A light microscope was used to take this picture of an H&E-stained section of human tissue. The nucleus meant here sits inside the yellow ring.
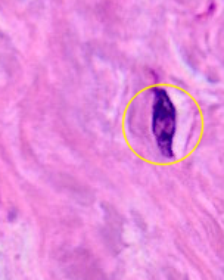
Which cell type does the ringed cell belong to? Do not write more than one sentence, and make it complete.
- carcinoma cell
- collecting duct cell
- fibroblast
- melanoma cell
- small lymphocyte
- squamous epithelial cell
In this field of tissue, the ringed cell is a fibroblast.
